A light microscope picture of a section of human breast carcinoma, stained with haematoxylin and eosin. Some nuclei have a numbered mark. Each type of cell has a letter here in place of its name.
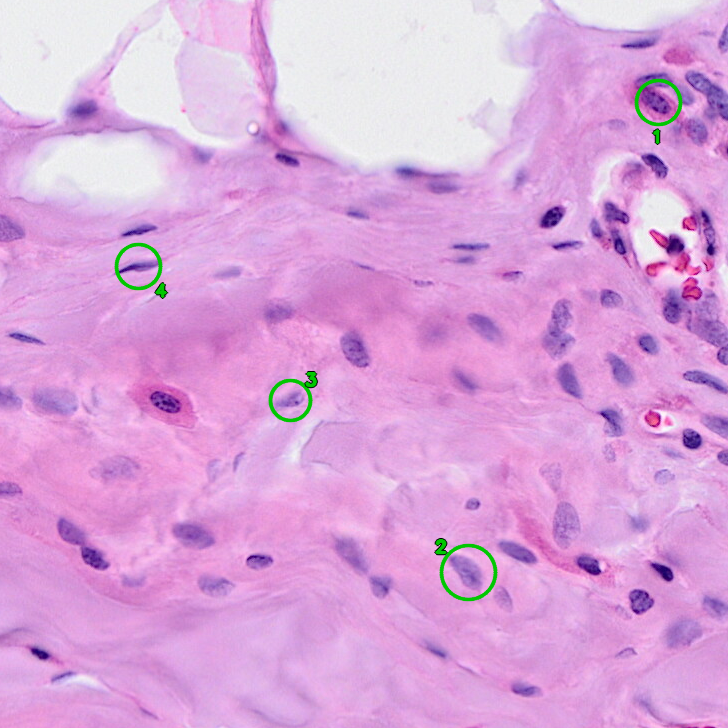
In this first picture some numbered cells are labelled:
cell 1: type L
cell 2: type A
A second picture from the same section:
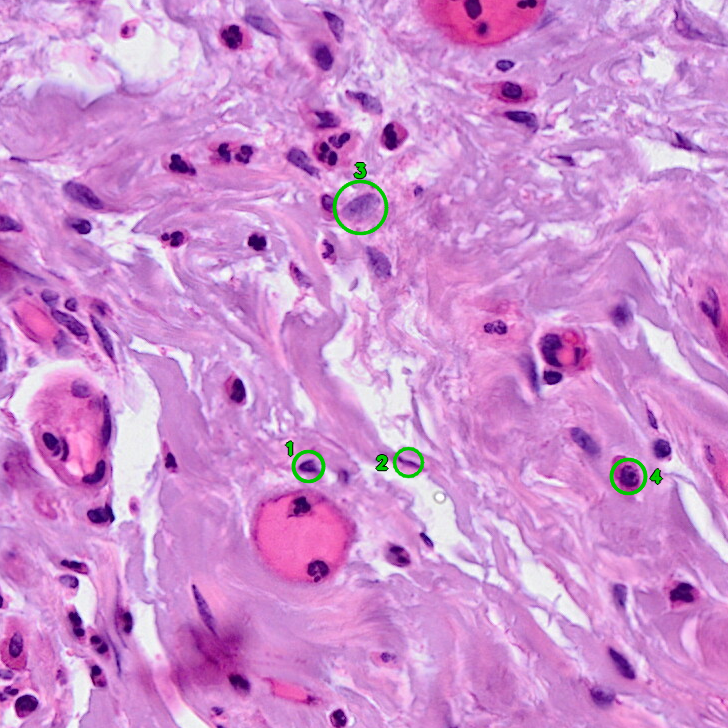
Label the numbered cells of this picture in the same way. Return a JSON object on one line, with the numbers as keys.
{"1": "type A", "2": "type A", "3": "type A", "4": "type L"}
